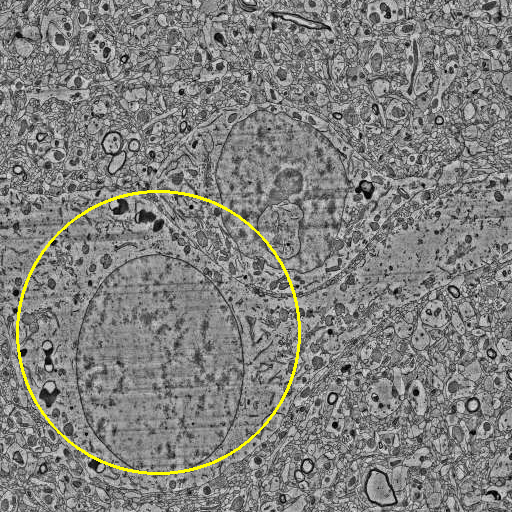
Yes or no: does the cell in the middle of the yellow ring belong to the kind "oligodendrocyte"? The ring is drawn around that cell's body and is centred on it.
no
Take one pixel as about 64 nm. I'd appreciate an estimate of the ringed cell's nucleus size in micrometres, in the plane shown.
About 14 by 11 micrometres in this plane.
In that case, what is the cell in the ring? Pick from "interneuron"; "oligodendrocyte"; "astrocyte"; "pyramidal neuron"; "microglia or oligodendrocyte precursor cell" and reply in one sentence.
The cell marked by the ring is a pyramidal neuron.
